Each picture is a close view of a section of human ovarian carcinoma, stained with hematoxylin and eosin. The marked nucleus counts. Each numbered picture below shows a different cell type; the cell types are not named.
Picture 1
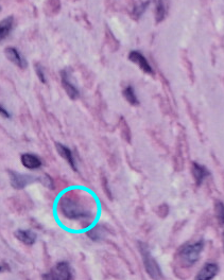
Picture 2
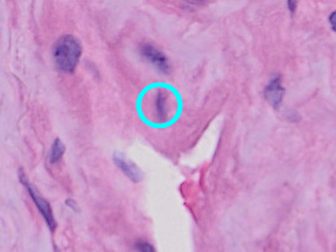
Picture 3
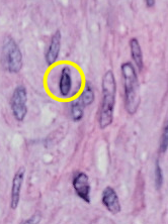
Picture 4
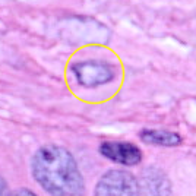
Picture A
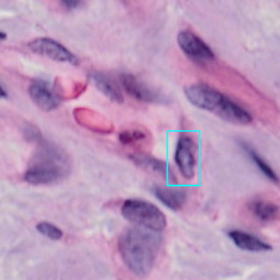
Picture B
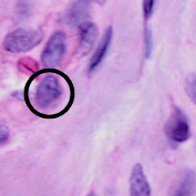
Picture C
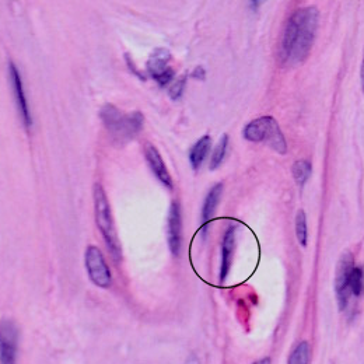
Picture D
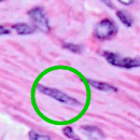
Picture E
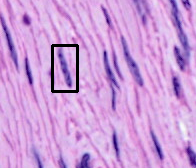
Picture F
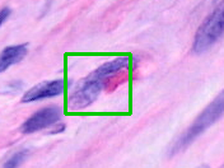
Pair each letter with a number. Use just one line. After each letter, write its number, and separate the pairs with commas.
A 1, B 1, C 1, D 4, E 4, F 1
